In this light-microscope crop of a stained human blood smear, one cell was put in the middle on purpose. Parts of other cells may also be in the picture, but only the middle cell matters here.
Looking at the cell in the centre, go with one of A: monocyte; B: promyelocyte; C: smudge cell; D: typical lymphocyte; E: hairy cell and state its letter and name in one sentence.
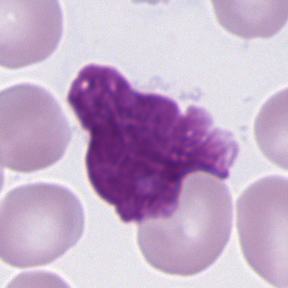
The cell positioned centrally is a smudge cell, as given in option C, which is correct.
